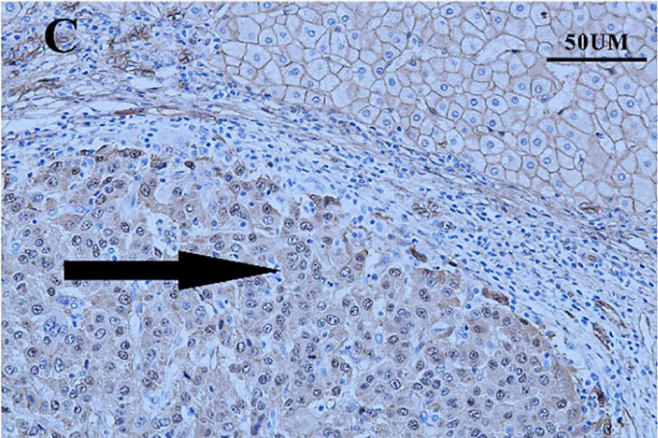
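This shows a nodule of cancer cells at lower left and surrounding liver tissue at upper right, divided by a band of fibrous tissue with elongated blue nuclei. The cancer cells are crowded, with enlarged round nuclei and cytoplasm that is diffusely tinted light brown. The liver cells beyond the band are large and polygonal with pale cytoplasm and small round nuclei, and their borders are outlined in brown in a regular network. The contrast lies between diffuse brown inside the tumor cells and brown confined to cell borders in the liver outside.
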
